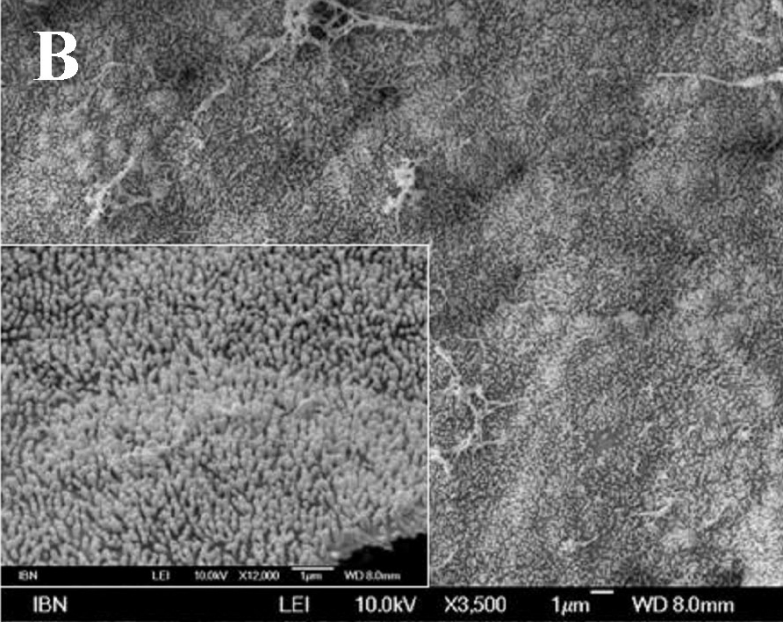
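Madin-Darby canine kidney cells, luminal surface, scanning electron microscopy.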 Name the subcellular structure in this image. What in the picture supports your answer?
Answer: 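Microvilli. The surface is densely covered by small finger-like projections.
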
